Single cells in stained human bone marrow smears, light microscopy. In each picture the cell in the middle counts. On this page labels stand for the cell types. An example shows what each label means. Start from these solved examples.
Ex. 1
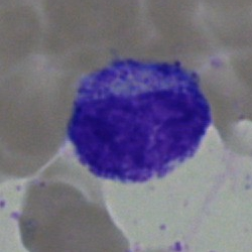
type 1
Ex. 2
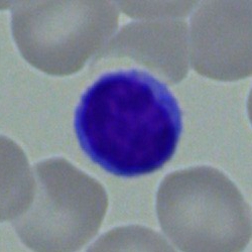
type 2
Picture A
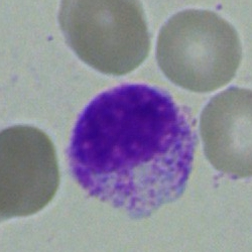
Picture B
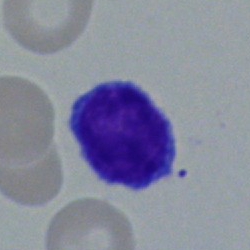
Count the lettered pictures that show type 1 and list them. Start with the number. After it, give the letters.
1, namely A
